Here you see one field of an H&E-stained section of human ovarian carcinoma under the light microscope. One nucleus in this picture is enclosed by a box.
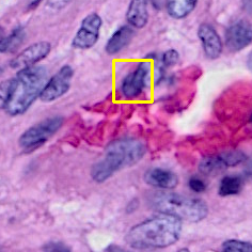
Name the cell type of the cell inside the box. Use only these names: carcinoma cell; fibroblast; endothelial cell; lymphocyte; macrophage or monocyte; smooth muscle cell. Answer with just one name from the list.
endothelial cell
